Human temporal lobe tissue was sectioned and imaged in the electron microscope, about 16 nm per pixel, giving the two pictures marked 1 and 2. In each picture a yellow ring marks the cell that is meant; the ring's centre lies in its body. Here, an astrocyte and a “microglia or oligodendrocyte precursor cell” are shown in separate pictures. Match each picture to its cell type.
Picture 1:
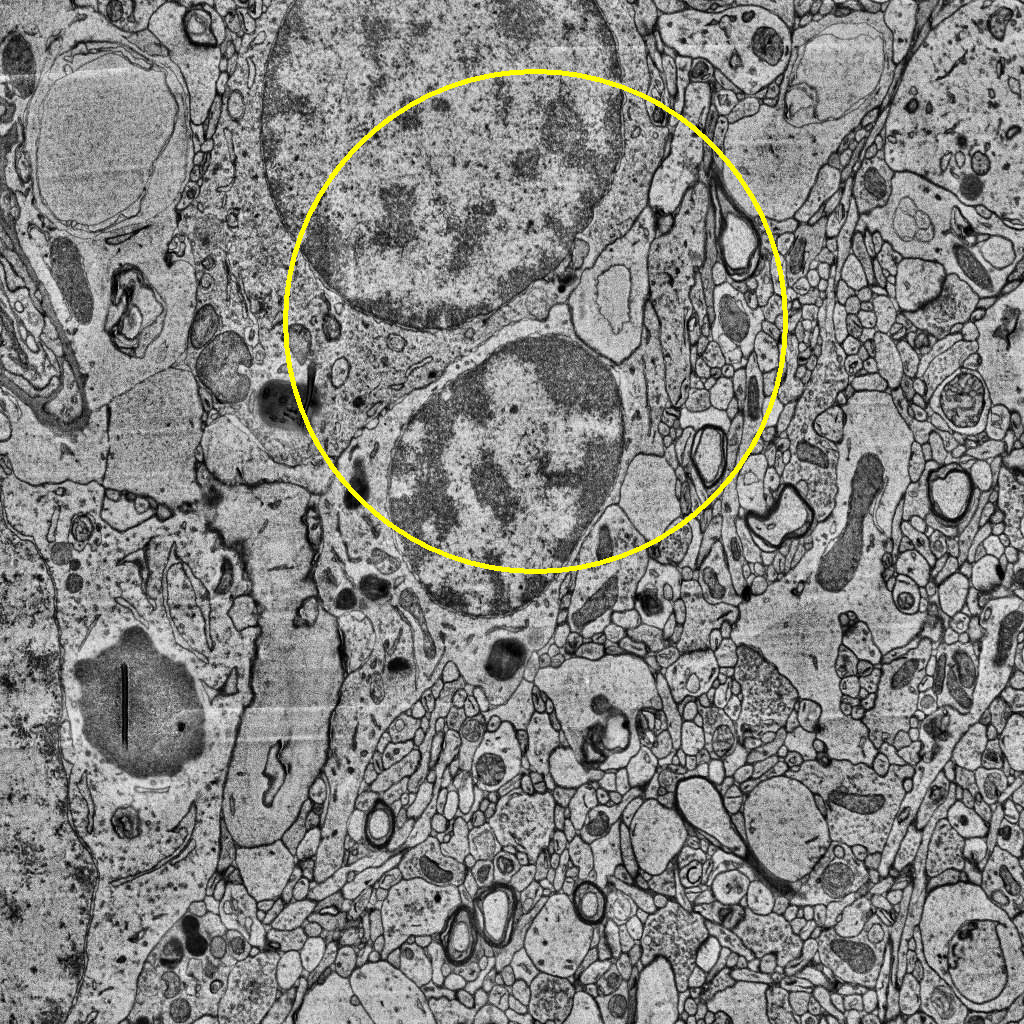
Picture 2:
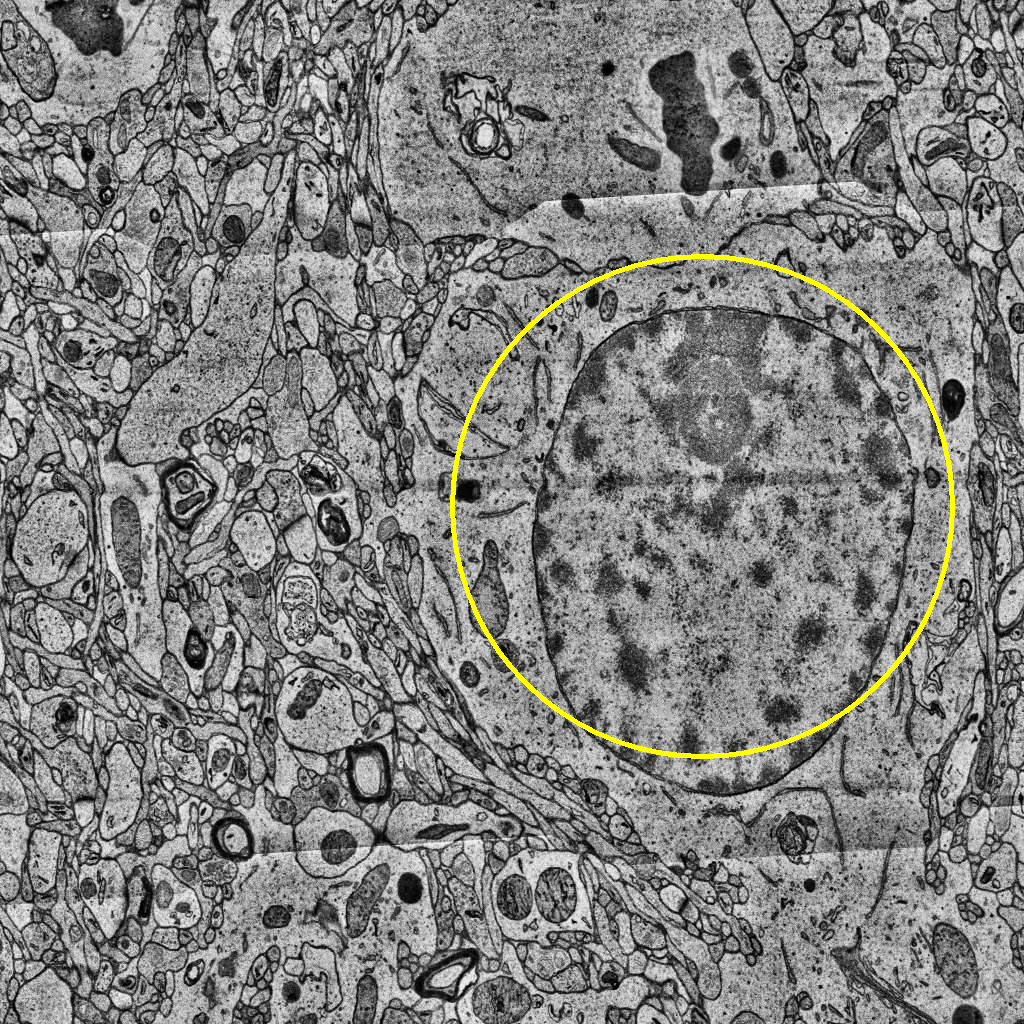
In picture 1 the cell is a “microglia or oligodendrocyte precursor cell”; in picture 2, an astrocyte.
